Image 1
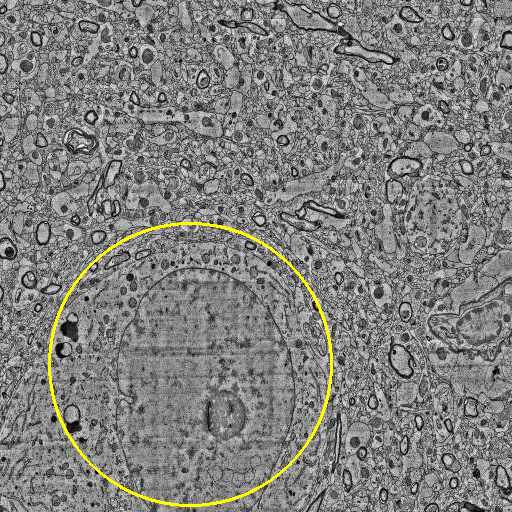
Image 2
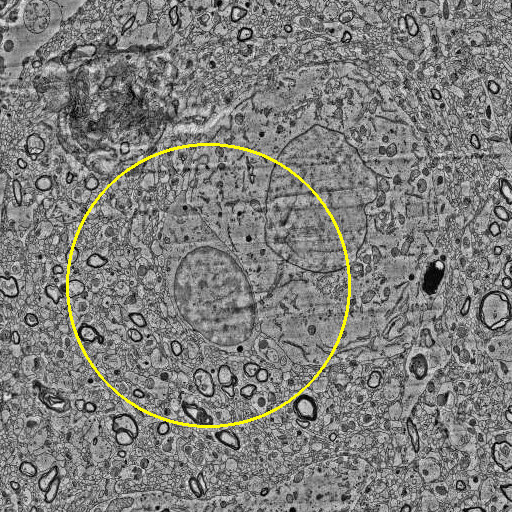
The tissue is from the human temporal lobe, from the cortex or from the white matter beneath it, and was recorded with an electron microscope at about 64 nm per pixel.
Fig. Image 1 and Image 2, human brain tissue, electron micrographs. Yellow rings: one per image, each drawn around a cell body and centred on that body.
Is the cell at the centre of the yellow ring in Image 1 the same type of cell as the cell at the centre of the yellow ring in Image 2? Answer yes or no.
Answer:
no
